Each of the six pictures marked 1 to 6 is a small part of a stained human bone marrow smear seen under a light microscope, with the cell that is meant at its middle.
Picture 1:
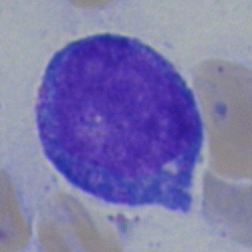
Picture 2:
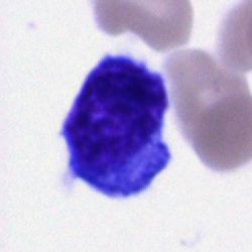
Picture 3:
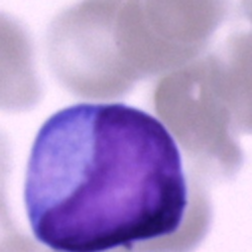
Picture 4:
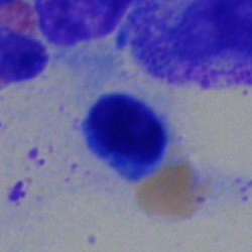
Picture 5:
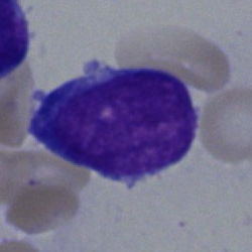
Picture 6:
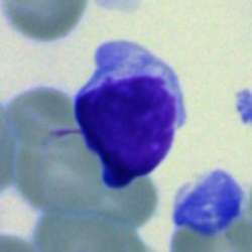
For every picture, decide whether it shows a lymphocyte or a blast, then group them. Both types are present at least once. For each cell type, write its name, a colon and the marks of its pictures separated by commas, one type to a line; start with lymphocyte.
lymphocyte: 4, 6
blast: 1, 2, 3, 5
